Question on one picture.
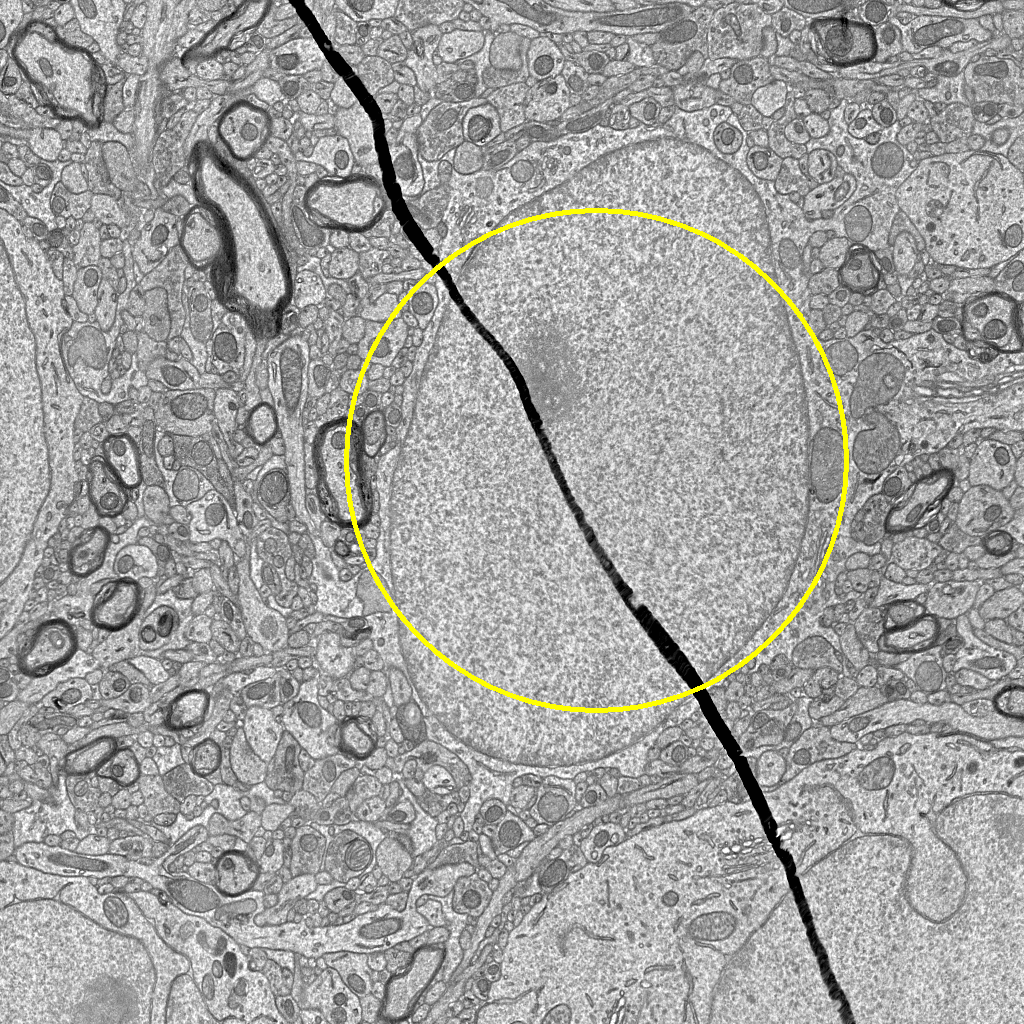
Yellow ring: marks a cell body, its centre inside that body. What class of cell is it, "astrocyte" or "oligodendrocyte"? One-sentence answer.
This is an astrocyte, the cell at the ring's centre.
